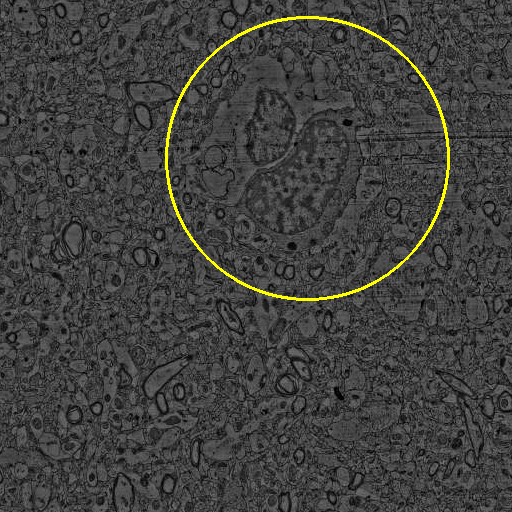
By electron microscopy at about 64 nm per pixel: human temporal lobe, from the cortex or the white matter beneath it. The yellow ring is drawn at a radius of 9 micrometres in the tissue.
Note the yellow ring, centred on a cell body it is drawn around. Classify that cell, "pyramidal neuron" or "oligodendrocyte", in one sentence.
The cell the ring is centred on is an oligodendrocyte.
